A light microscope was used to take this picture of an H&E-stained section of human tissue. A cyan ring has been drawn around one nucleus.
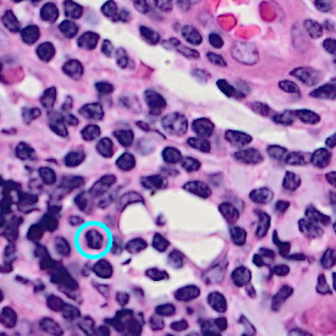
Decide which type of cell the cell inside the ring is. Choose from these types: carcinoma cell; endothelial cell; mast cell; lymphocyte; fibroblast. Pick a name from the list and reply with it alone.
lymphocyte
